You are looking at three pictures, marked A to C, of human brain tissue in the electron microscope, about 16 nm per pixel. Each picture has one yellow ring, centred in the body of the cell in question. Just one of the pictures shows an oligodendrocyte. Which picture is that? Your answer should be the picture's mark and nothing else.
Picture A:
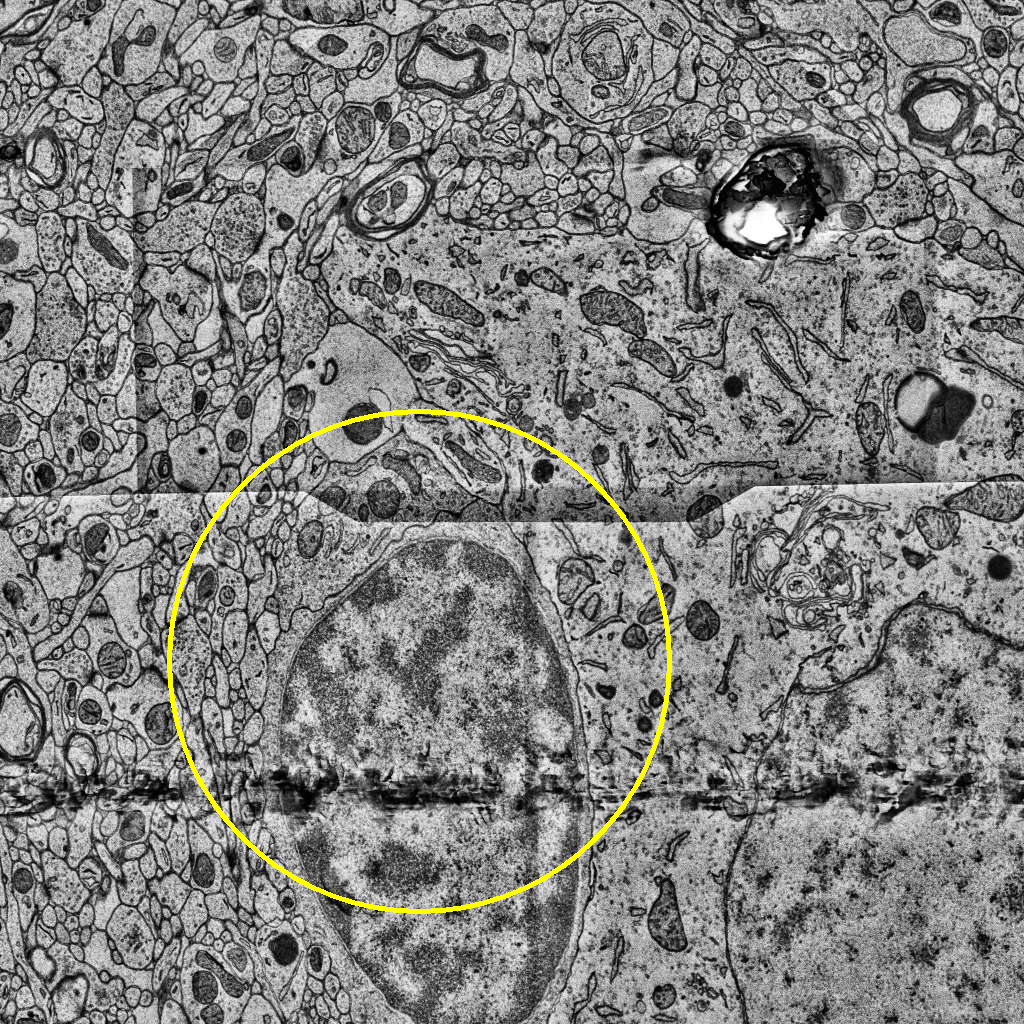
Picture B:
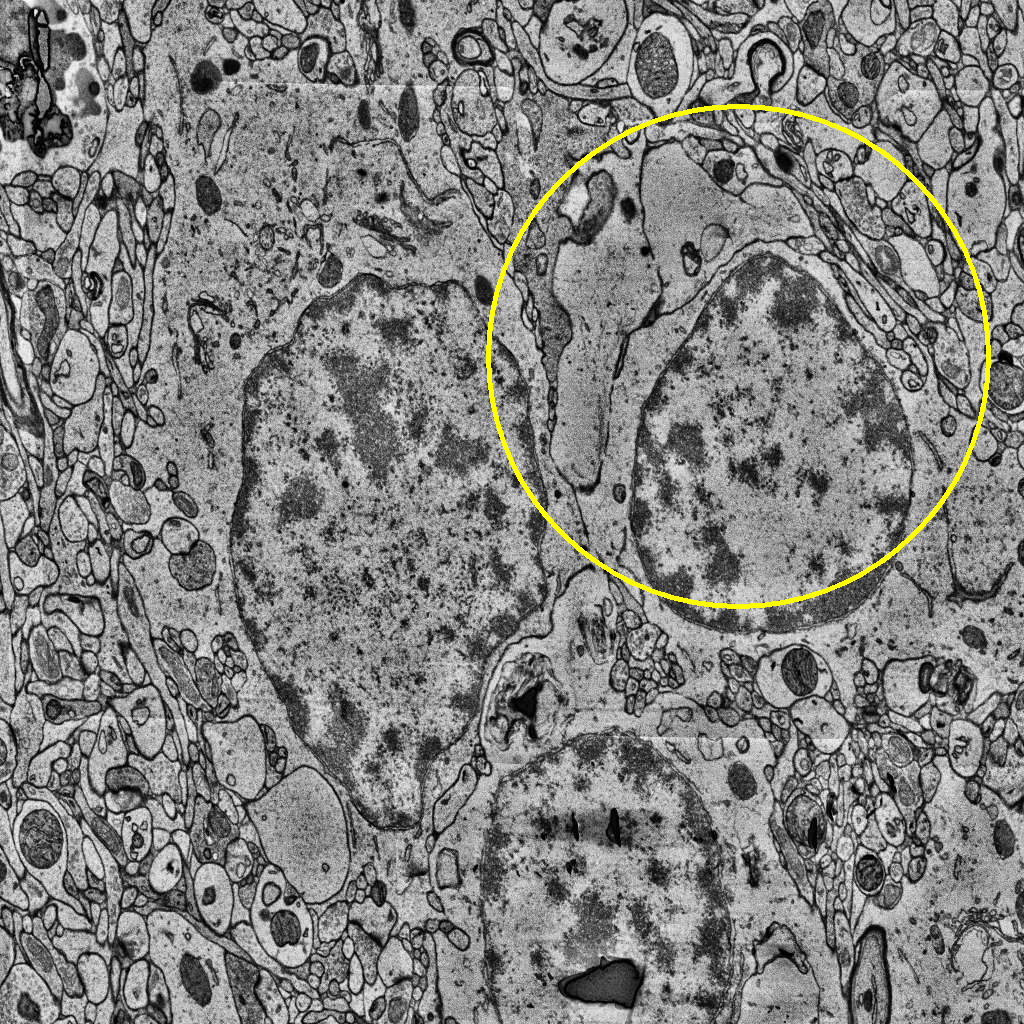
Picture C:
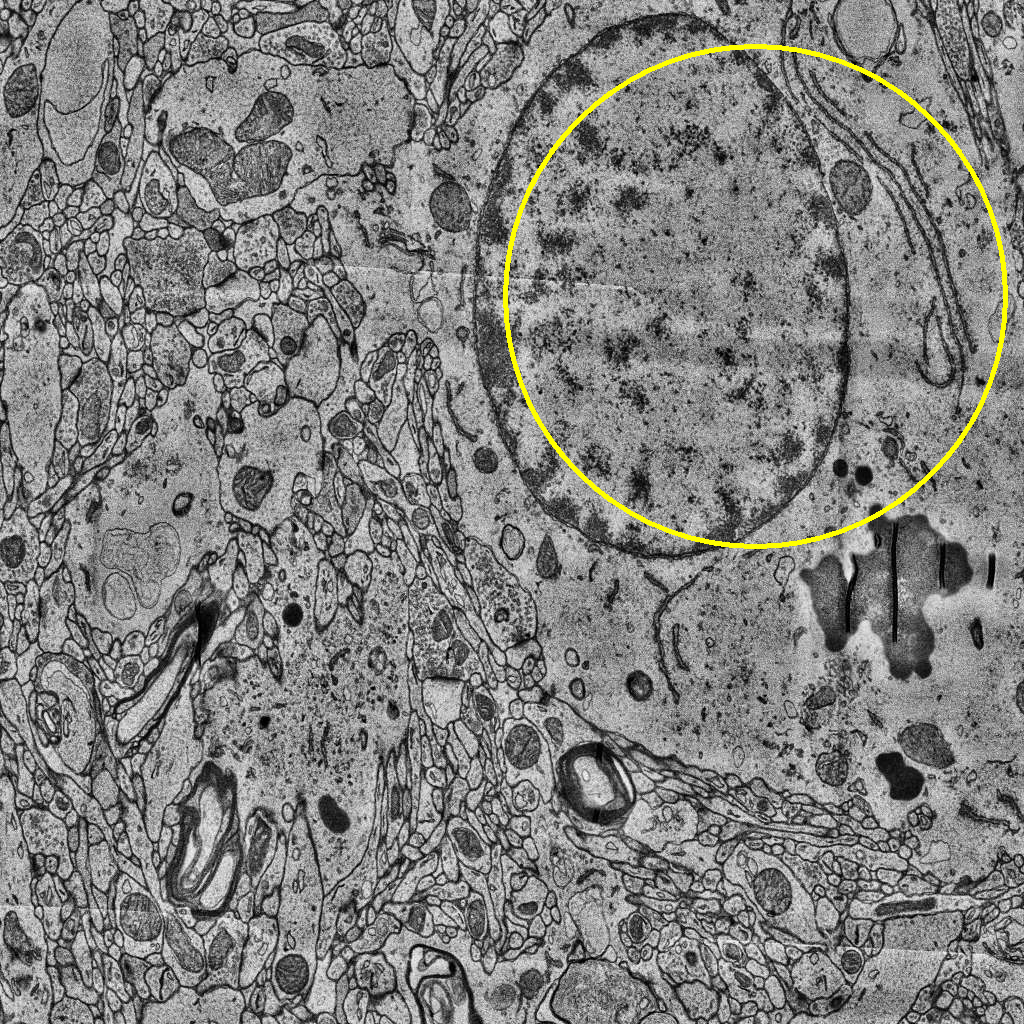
A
